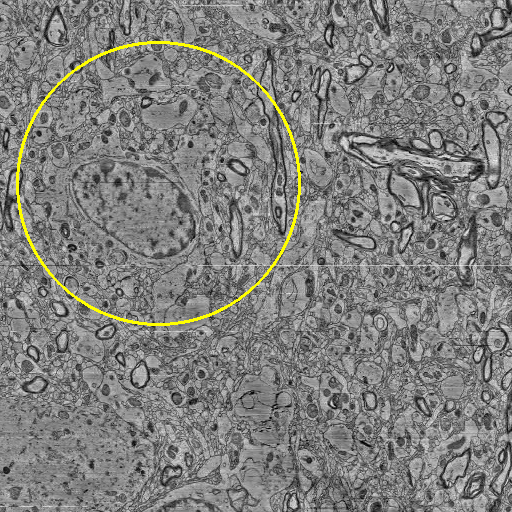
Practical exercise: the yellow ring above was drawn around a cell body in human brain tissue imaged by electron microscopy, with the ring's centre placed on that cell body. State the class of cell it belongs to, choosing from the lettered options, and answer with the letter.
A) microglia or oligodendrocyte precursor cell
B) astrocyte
A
